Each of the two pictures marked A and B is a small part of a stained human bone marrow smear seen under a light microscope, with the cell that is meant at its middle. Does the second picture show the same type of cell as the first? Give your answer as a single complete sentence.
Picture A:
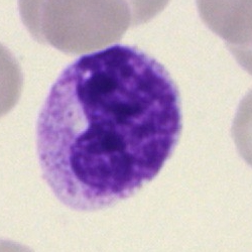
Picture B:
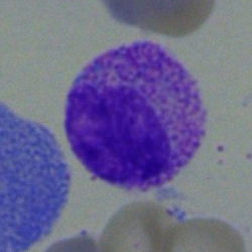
No, the types are not the same, since picture A shows a metamyelocyte and picture B a myelocyte.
